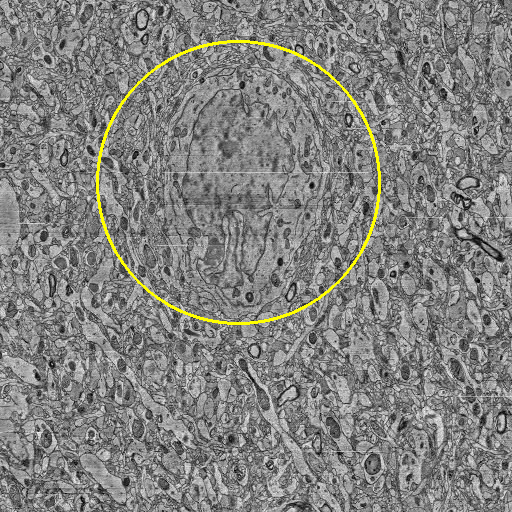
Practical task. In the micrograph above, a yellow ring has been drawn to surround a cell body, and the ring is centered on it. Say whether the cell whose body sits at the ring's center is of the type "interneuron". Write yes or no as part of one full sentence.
Yes, the cell at the center of the ring above is of the type asked about.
